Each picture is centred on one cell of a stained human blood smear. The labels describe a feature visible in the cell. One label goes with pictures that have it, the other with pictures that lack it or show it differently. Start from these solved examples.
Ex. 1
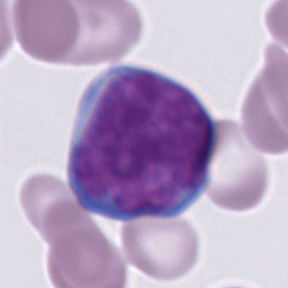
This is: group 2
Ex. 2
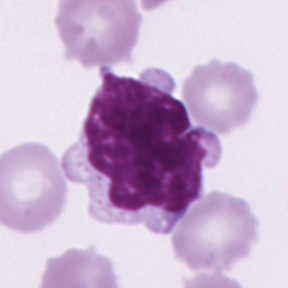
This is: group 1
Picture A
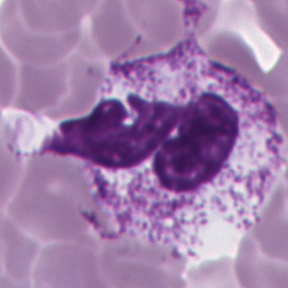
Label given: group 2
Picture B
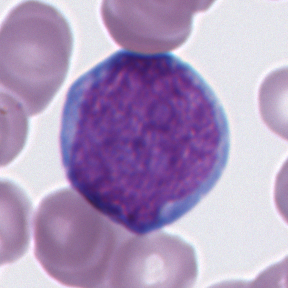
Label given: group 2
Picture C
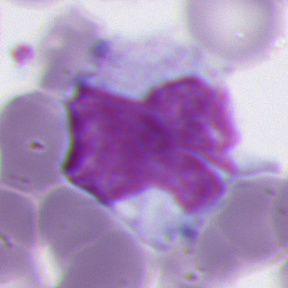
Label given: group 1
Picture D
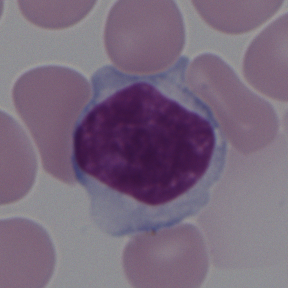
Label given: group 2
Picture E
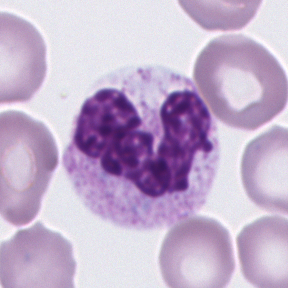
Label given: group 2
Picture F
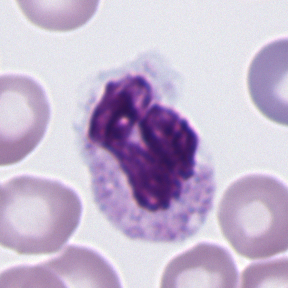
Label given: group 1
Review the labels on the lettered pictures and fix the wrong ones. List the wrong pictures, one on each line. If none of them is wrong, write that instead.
A: change group 2 to group 1
D: change group 2 to group 1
